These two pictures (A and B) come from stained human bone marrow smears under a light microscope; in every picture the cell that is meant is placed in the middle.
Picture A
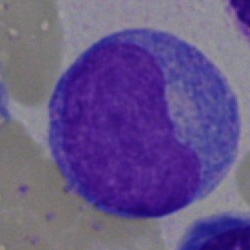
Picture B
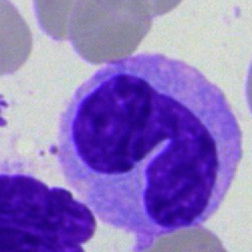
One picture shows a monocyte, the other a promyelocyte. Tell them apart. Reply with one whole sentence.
It is picture A that shows a promyelocyte, and picture B that shows a monocyte.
